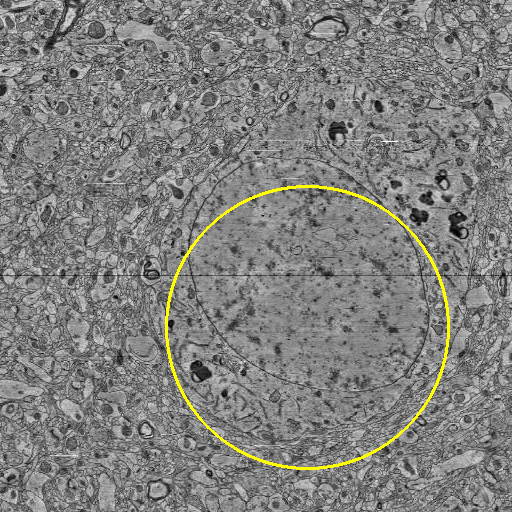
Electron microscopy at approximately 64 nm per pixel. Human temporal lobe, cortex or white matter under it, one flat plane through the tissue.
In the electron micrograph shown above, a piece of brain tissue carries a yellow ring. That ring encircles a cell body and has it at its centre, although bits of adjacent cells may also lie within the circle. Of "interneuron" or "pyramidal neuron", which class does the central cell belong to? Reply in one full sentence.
The cell body at the centre of the yellow ring belongs to a pyramidal neuron.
